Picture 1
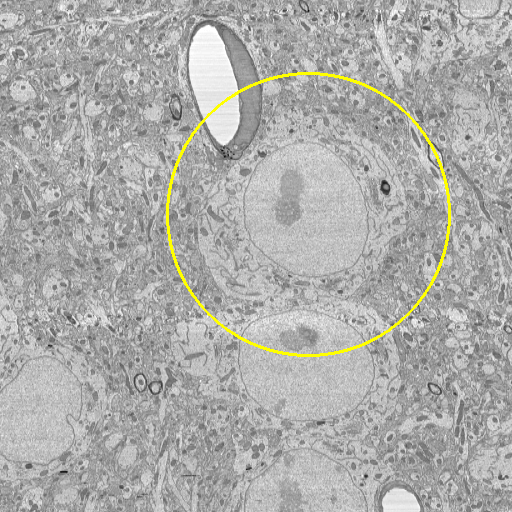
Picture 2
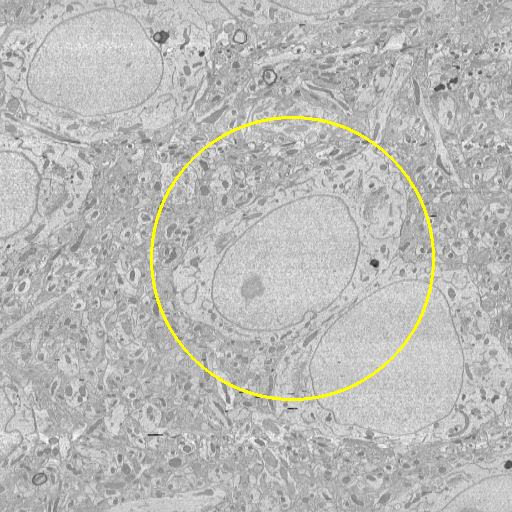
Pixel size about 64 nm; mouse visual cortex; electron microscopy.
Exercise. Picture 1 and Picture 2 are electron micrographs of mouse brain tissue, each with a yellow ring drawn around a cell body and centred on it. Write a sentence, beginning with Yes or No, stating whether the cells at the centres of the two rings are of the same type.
Yes, the cells at the centres of both rings are of the same type.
